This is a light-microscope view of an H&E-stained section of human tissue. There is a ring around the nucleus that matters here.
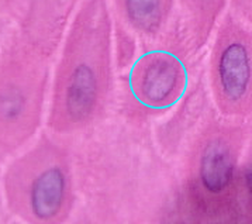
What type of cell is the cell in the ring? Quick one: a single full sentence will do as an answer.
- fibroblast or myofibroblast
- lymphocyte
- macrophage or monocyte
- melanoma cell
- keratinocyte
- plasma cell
Cytologically, the cell in the ring is to be regarded as a keratinocyte.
